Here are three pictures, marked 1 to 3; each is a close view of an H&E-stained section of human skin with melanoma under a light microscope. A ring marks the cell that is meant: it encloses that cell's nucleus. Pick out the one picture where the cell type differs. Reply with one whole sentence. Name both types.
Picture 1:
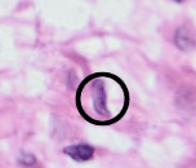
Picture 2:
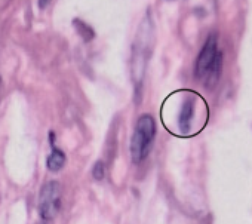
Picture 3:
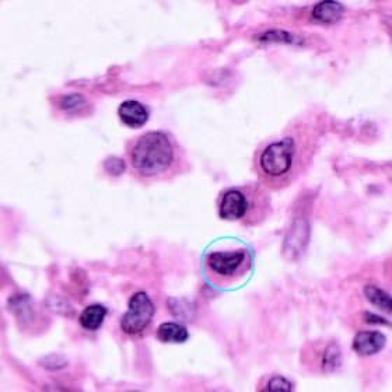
The others show “fibroblasts or myofibroblasts”, but picture 3 shows a “macrophage or monocyte”.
